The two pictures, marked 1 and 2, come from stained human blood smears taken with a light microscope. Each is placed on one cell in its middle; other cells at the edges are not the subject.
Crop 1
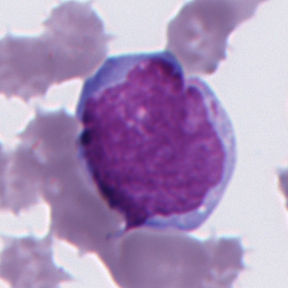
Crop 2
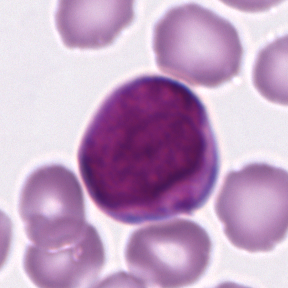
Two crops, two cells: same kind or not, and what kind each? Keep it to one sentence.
Yes, both crops are centred on cells that are blasts.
